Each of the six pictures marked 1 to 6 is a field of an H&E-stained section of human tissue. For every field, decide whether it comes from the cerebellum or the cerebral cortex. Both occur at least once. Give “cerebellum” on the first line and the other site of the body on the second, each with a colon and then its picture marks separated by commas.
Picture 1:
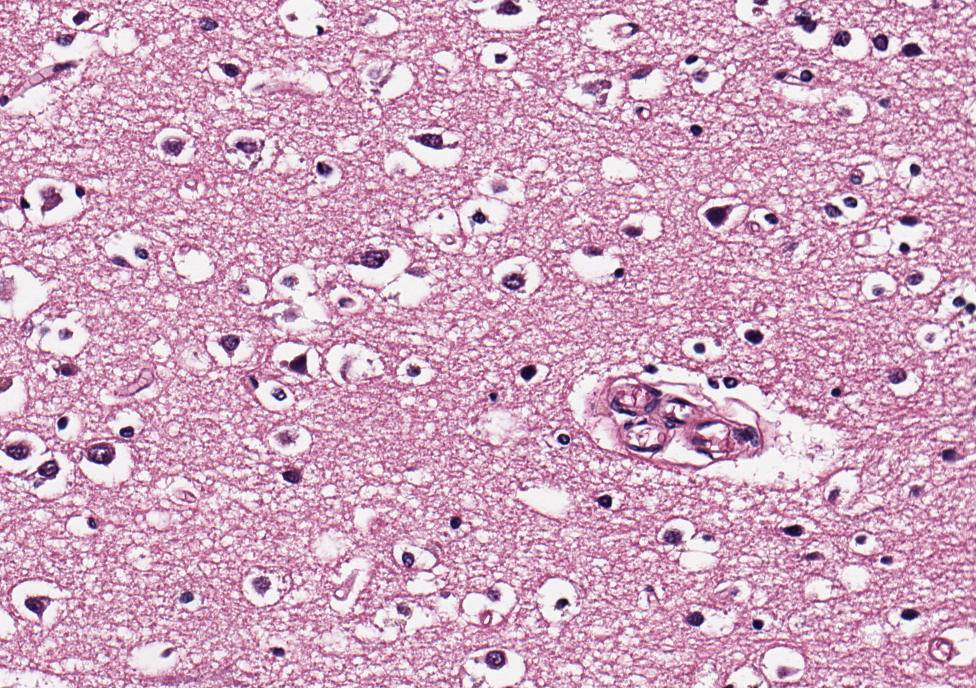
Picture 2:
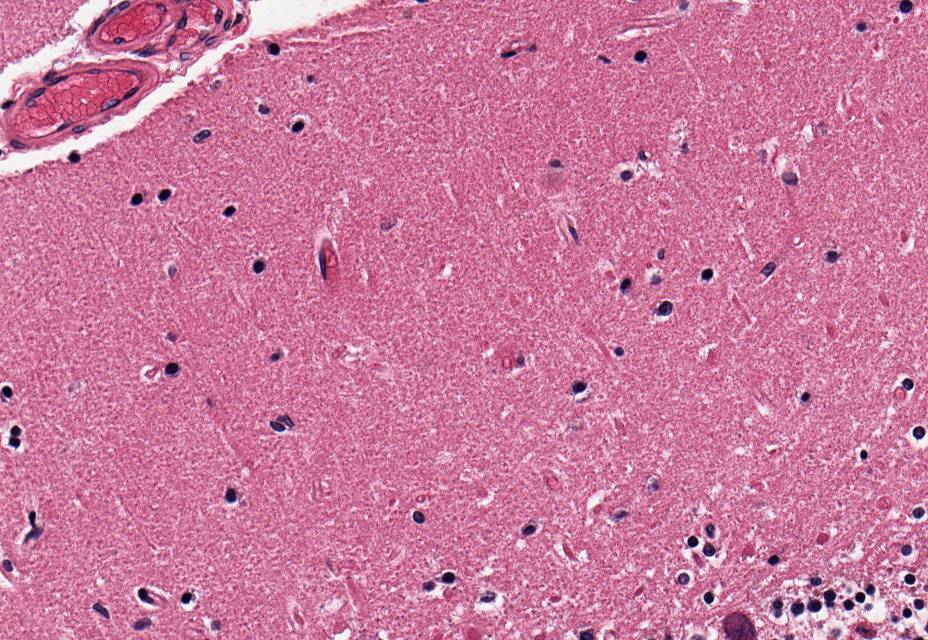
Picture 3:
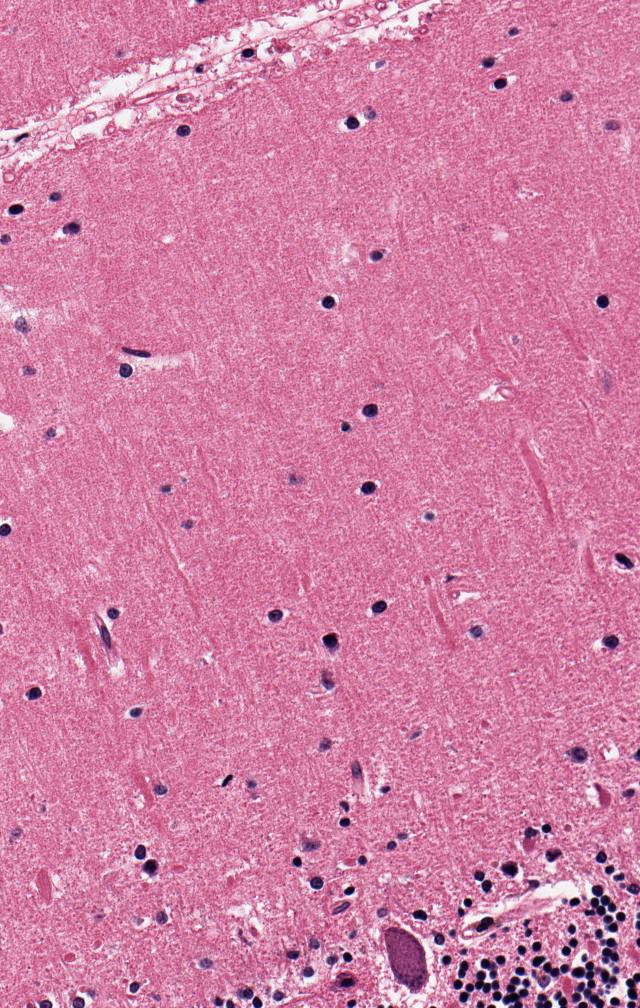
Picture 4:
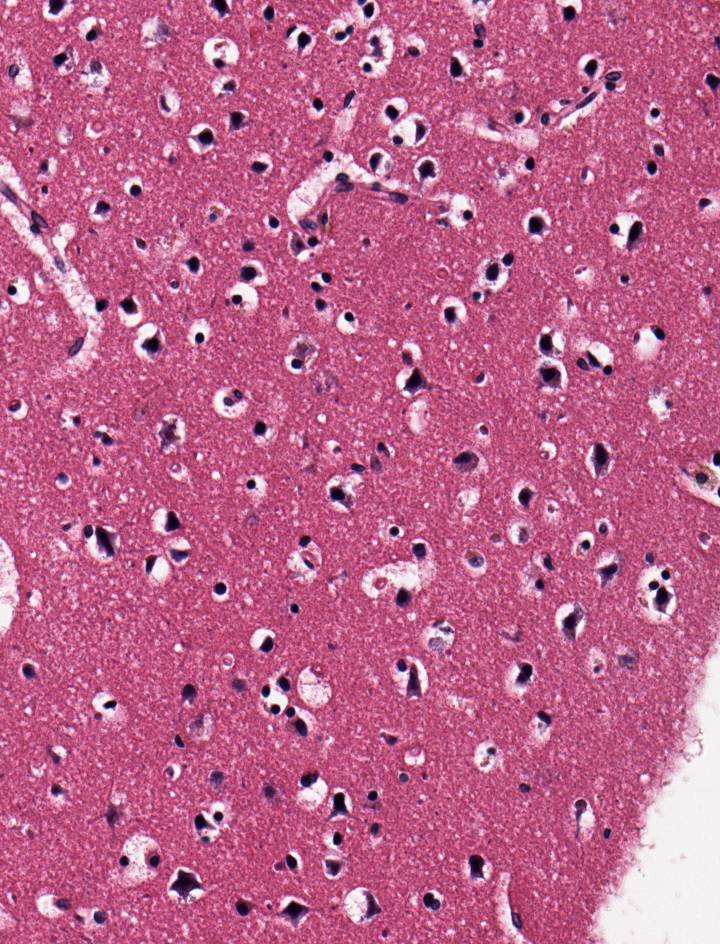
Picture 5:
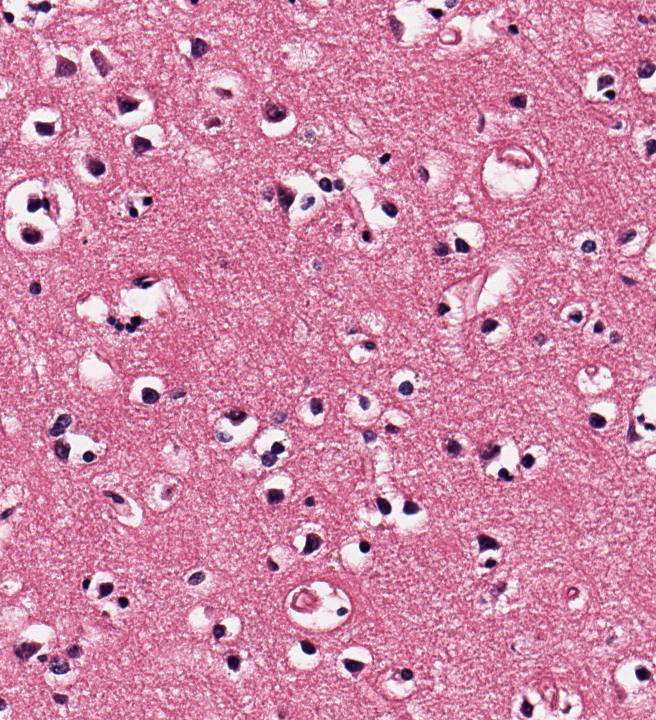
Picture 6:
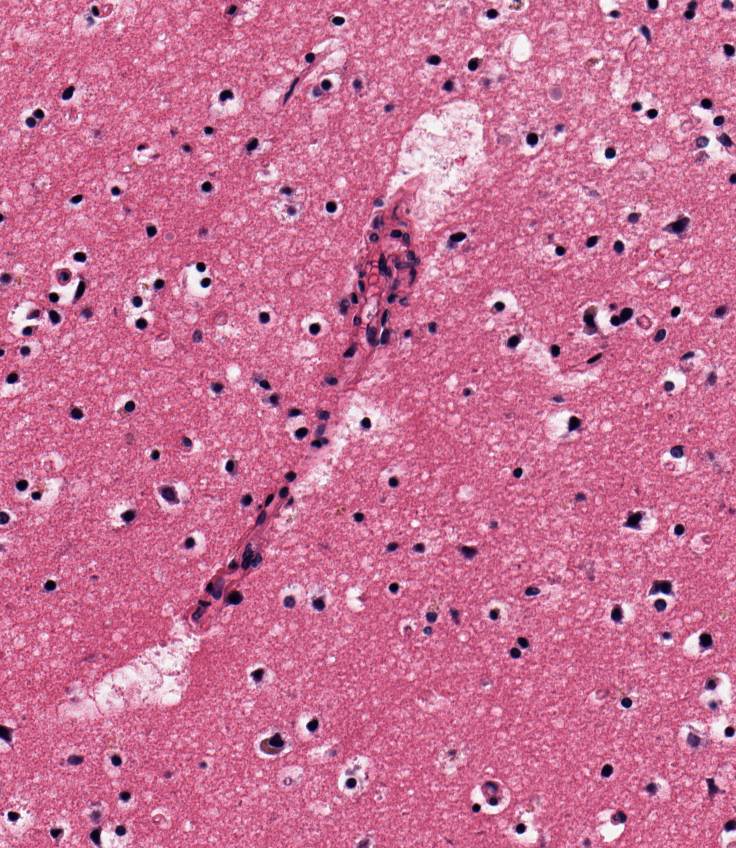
cerebellum: 2, 3
cerebral cortex: 1, 4, 5, 6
